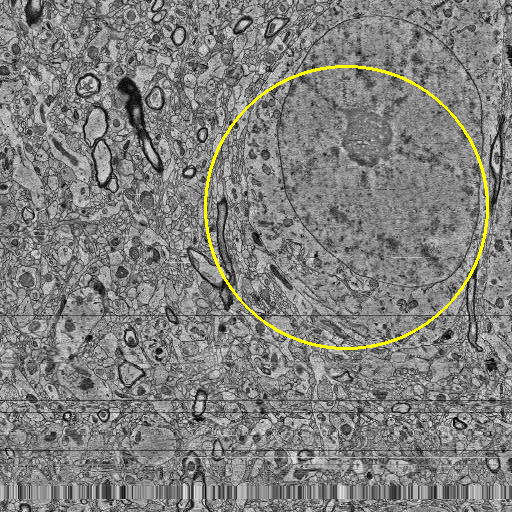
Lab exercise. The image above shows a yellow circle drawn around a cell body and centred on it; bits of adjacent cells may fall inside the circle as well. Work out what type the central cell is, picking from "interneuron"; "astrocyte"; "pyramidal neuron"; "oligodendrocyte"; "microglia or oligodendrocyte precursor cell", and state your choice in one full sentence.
In the image above, the cell at the centre of the yellow circle is a pyramidal neuron.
